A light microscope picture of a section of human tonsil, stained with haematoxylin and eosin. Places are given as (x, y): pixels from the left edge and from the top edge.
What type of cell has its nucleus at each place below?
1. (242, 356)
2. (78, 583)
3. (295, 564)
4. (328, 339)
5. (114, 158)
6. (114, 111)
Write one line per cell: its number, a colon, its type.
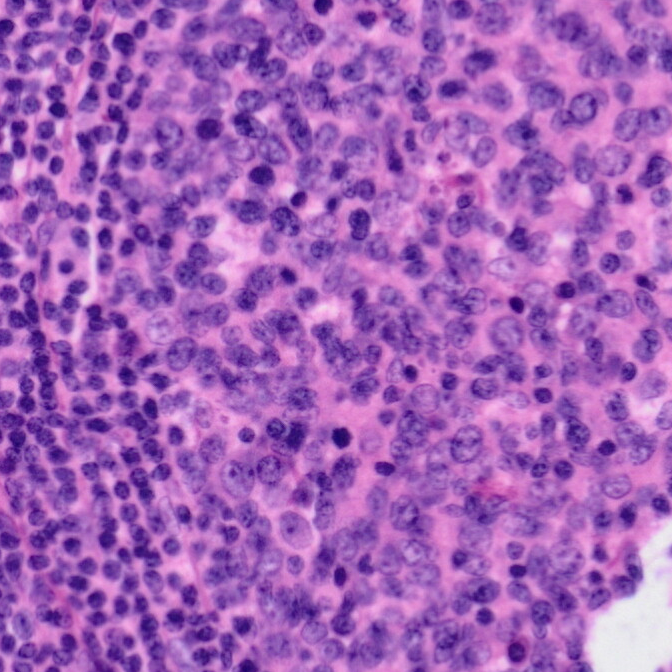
1: proliferating B cell
2: small lymphocyte
3: proliferating B cell
4: proliferating B cell
5: small lymphocyte
6: small lymphocyte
